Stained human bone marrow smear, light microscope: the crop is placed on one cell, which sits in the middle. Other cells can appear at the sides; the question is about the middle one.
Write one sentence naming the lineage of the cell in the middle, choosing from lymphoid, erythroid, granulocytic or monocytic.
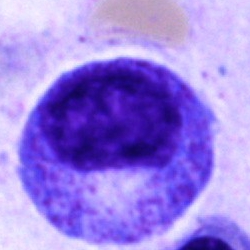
The cell found in the center of the crop is of the granulocytic lineage.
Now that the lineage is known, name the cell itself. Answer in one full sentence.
Within this crop, a promyelocyte occupies the central position.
